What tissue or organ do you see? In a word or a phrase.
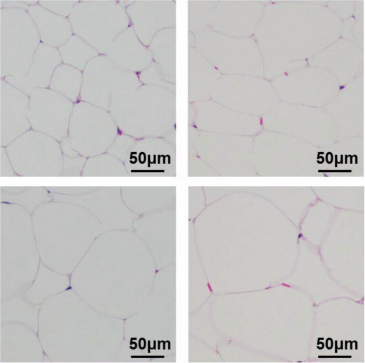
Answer: White adipose tissue.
